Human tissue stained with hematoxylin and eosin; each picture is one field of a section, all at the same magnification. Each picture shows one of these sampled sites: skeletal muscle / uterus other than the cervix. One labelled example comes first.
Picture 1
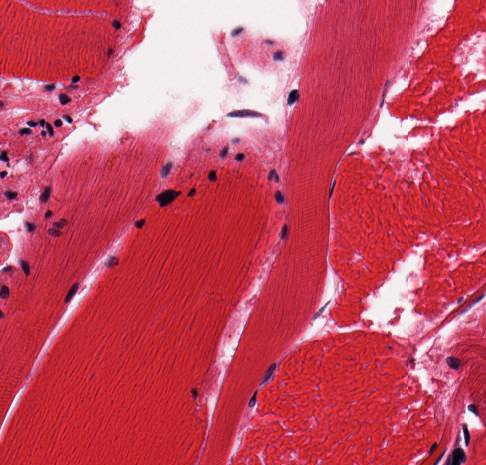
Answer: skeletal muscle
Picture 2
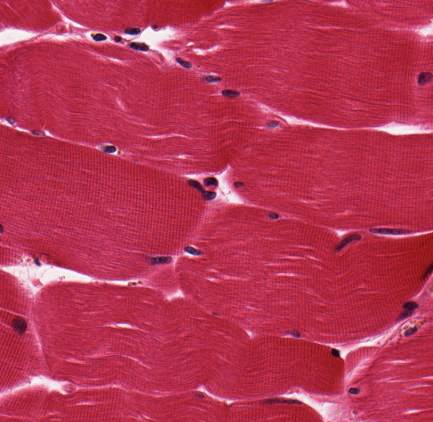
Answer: skeletal muscle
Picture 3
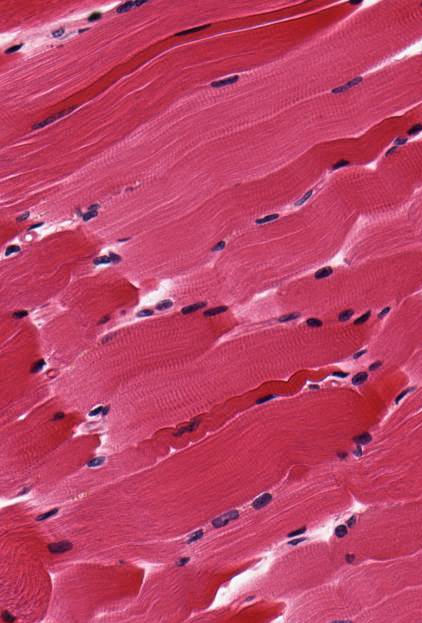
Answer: skeletal muscle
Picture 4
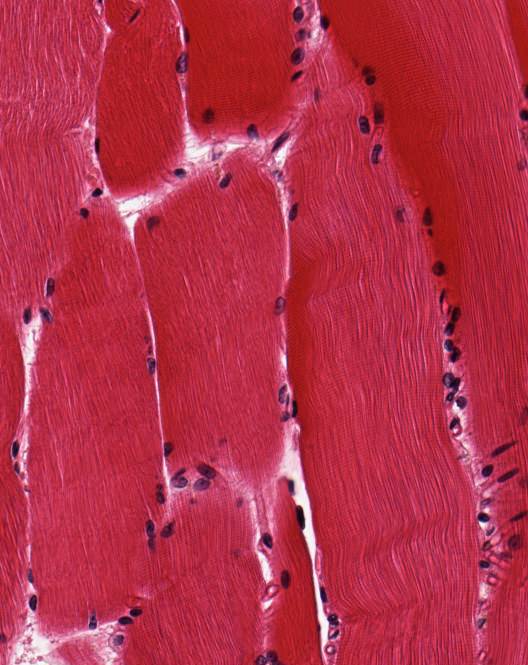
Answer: skeletal muscle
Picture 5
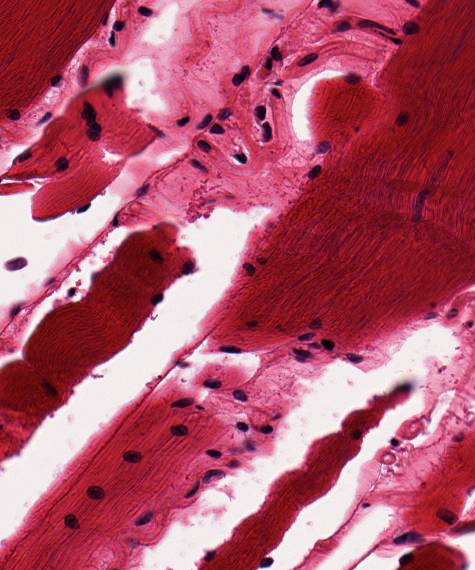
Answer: skeletal muscle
